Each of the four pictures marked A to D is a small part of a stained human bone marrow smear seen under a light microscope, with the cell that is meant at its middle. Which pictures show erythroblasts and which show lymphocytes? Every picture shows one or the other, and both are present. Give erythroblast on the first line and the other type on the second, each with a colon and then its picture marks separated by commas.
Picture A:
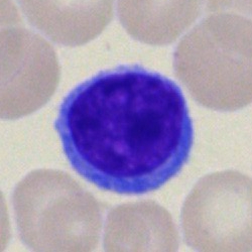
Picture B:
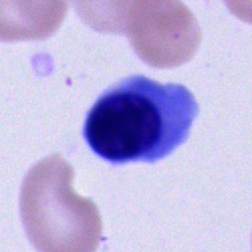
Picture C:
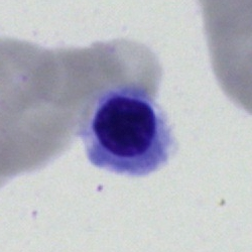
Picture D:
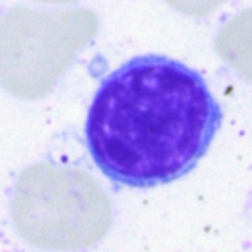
erythroblast: B, C
lymphocyte: A, D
